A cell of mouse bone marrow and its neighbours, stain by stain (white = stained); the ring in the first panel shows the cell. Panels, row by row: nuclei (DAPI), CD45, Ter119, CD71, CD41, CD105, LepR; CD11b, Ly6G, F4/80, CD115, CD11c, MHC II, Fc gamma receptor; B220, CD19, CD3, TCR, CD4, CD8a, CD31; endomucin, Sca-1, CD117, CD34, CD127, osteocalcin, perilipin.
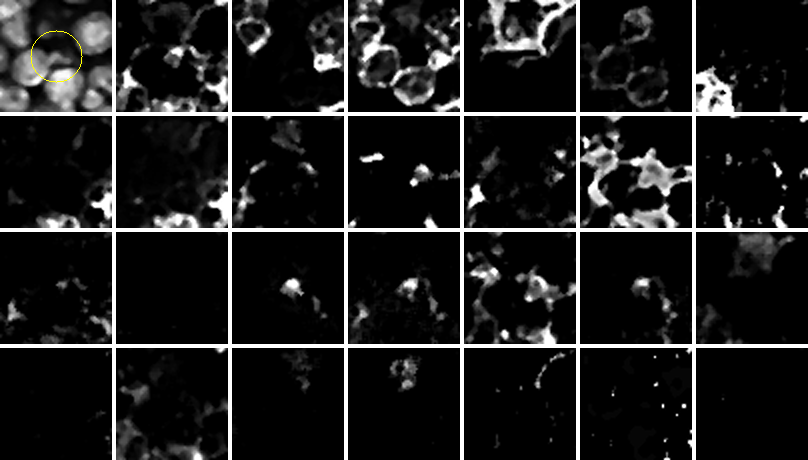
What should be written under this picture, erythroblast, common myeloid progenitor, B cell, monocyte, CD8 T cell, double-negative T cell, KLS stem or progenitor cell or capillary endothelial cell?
double-negative T cell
